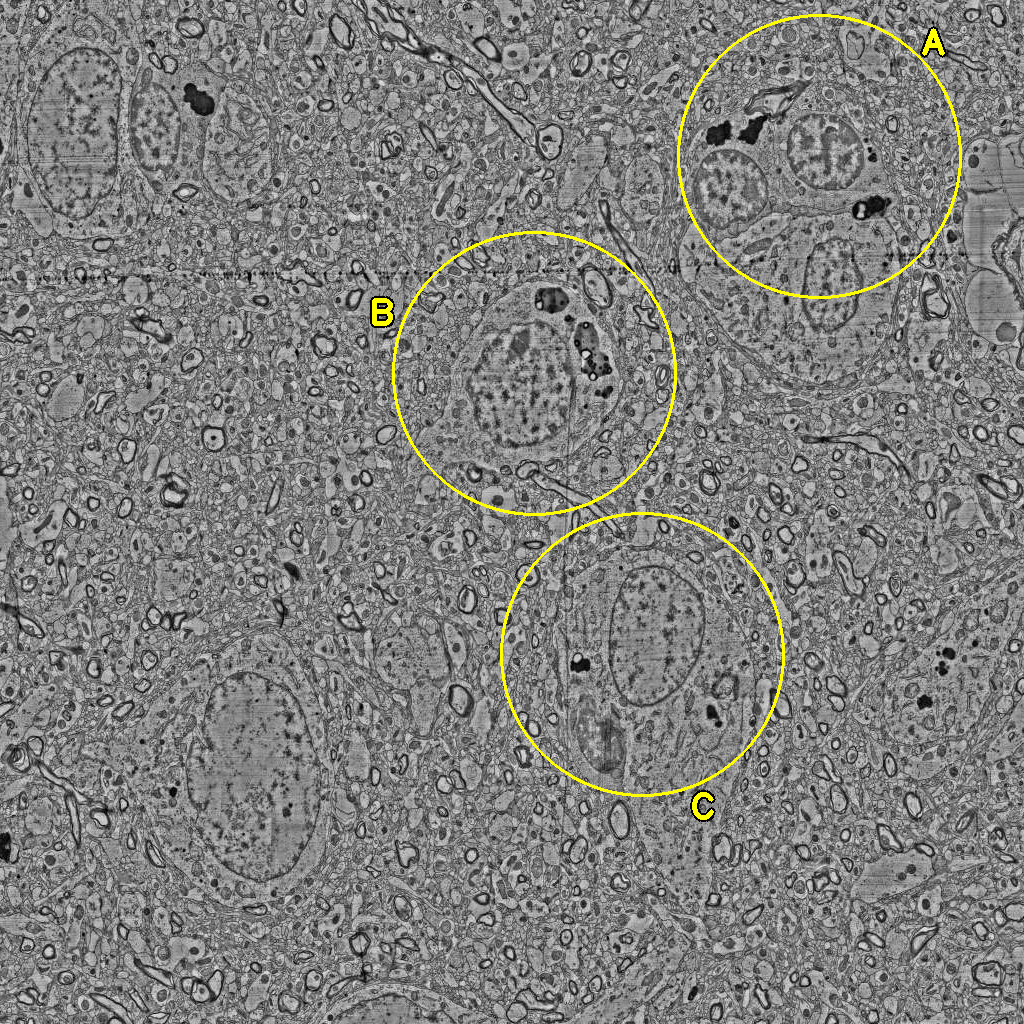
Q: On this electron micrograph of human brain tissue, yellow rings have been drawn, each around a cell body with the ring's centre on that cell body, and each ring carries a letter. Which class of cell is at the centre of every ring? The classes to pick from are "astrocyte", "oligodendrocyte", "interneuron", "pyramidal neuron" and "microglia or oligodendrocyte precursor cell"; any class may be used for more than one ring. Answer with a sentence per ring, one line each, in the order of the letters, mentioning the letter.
The centre of ring A is occupied by an oligodendrocyte.
The centre of ring B is occupied by an interneuron.
The centre of ring C is occupied by a pyramidal neuron.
